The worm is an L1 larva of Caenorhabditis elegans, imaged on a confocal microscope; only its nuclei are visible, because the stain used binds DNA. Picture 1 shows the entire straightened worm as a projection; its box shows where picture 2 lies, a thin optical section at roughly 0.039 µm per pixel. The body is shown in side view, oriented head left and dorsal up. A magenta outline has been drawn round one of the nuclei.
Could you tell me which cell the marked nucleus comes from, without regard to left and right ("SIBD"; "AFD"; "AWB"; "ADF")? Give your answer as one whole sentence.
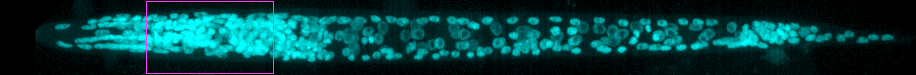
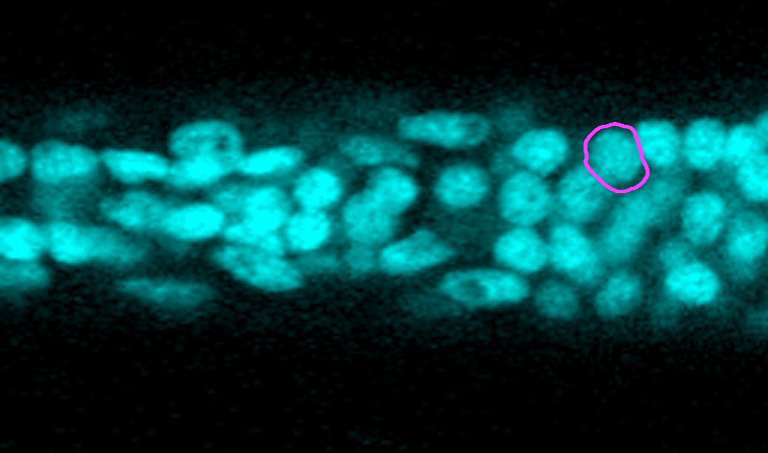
It is the nucleus of ADF, a neuron.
